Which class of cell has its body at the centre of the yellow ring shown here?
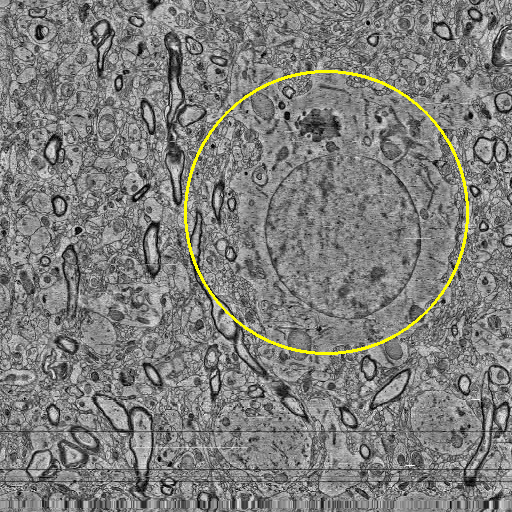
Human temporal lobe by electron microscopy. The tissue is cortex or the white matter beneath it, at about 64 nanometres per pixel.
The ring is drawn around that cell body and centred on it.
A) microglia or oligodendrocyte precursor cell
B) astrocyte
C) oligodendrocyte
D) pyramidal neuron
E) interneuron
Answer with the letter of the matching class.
B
